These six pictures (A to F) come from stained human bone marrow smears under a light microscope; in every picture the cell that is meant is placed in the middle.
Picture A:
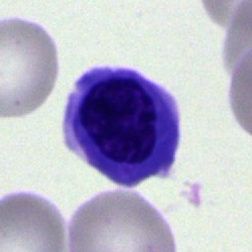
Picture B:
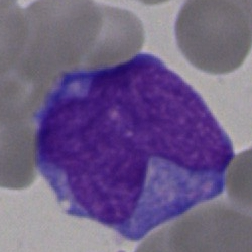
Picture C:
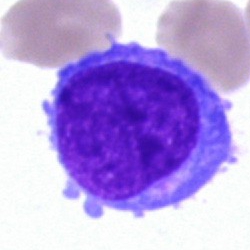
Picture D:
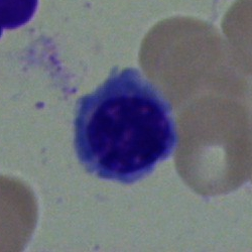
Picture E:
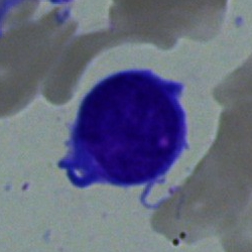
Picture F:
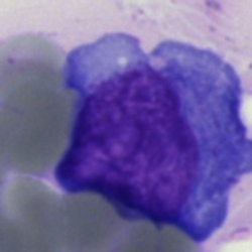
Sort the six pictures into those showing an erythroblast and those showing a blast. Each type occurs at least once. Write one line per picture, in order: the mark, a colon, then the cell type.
A: erythroblast
B: blast
C: blast
D: erythroblast
E: blast
F: blast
